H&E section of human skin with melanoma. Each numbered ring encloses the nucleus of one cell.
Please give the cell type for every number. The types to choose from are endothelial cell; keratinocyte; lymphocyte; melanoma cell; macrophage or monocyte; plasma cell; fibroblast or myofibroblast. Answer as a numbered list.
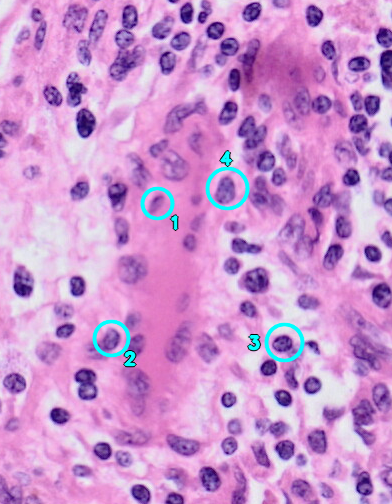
1. endothelial cell
2. lymphocyte
3. lymphocyte
4. lymphocyte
